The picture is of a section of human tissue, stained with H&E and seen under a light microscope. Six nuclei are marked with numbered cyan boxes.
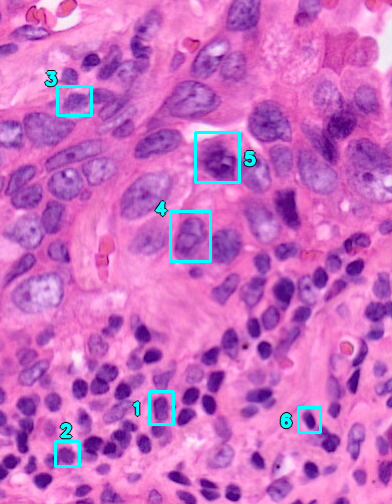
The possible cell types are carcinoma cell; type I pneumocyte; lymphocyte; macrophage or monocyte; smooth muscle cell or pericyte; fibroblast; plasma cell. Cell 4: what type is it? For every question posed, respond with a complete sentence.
In this section, the cell numbered 4 is a carcinoma cell.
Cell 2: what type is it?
Cell 2 in the field of view is a lymphocyte.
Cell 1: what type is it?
The correct label for cell 1 is a lymphocyte.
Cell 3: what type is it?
The cell indicated by marker 3 is a lymphocyte in this section.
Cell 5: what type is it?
In the tissue shown, cell 5 is a carcinoma cell.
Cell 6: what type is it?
Here the cell numbered 6 is a lymphocyte.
